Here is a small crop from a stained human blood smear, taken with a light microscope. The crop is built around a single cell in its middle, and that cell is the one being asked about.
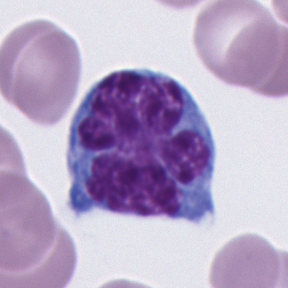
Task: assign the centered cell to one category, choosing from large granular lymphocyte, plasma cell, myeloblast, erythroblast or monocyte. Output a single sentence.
The cell in the middle of the field of view is a myeloblast.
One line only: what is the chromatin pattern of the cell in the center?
One feature to record is coarsely clumped chromatin.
